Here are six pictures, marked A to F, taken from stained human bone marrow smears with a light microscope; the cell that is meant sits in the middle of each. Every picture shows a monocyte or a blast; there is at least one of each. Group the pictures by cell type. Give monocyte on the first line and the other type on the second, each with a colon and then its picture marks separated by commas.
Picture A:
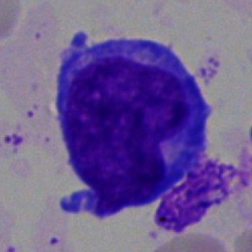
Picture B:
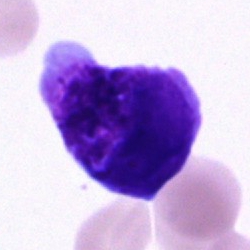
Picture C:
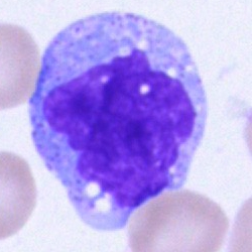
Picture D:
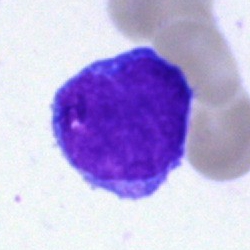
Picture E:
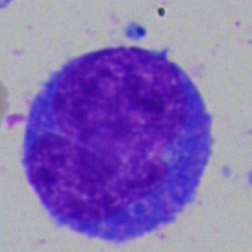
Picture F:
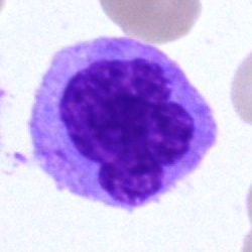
monocyte: C, F
blast: A, B, D, E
